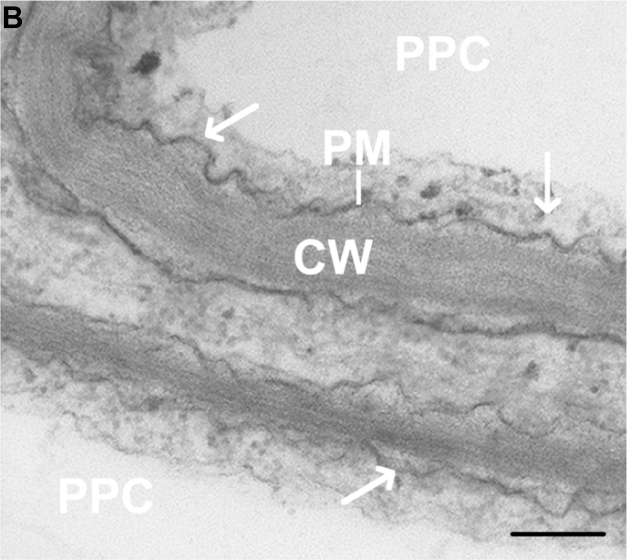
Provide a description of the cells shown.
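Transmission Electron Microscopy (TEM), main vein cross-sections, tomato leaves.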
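A thick, finely layered cell wall runs diagonally across the field, with pale cell contents above and below it. Along the wall, the plasma membrane should lie as a smooth thin line, but here it runs in small, tight, irregular waves and loops, partly lifted away from the wall surface. The thin band of cytoplasm beside it looks grainy with scattered dark particles. This rippled, loosened membrane on both faces of the wall is the kind of membrane disorganization one looks for in diseased phloem.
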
